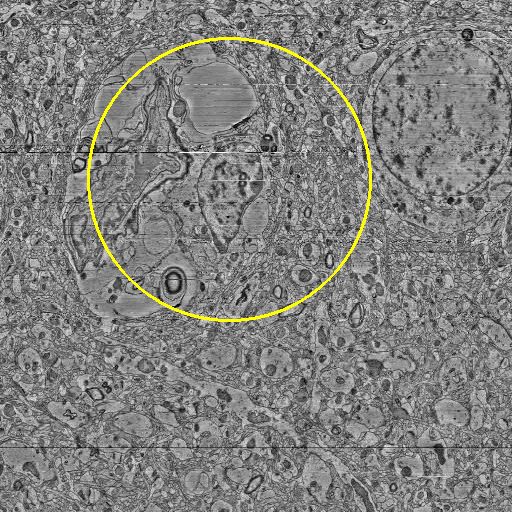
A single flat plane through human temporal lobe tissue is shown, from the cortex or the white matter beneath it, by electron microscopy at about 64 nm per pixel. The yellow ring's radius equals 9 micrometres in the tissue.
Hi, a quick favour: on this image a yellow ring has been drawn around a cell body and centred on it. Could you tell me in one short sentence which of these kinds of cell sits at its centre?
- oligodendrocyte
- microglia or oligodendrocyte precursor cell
The ring is centred on a microglial cell or oligodendrocyte precursor cell.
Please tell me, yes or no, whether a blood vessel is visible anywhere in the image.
Yes.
